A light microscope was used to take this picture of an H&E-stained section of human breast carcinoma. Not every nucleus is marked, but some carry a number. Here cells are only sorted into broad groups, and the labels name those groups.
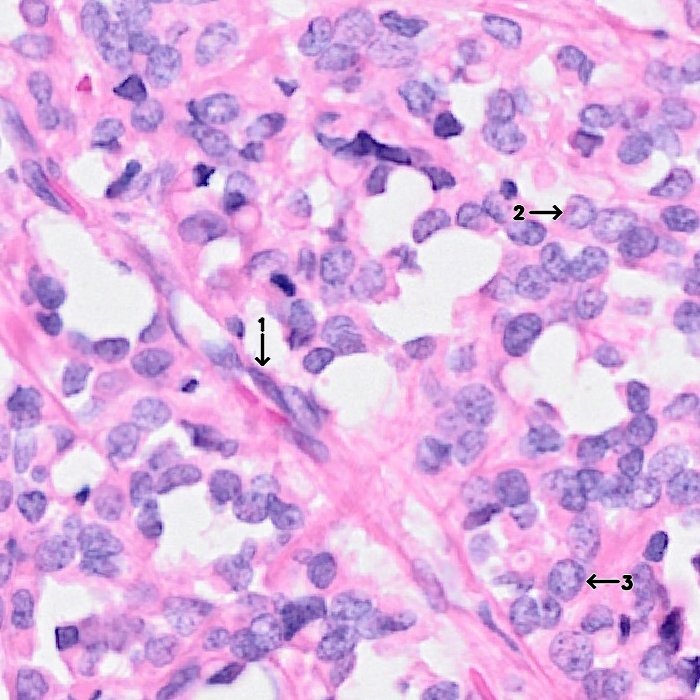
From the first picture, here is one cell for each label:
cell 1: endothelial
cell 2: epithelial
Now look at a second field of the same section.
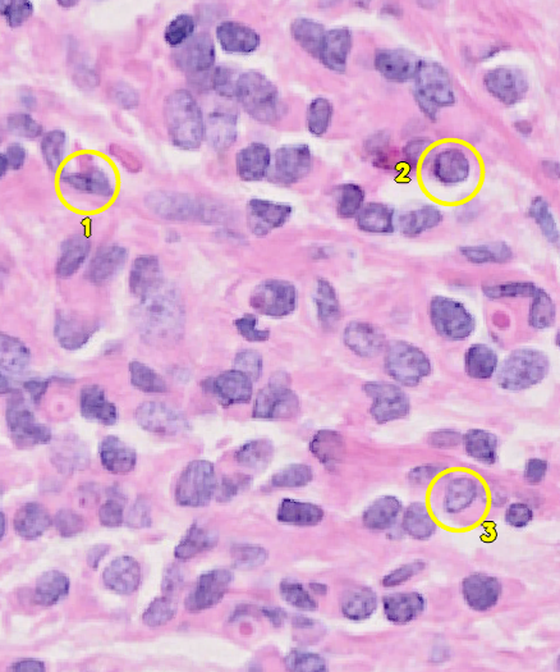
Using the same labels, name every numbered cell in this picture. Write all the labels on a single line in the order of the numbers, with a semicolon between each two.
endothelial; epithelial; epithelial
